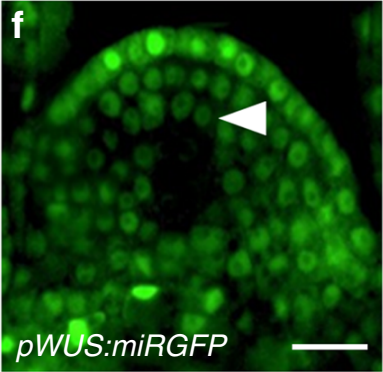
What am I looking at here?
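This longitudinal section shows the dome of a shoot apical meristem with fluorescent nuclei in green. The outer cell layers covering the dome contain bright, regularly arranged nuclei. Below the summit, in the centre of the dome, lies a region where nuclei show little or no fluorescence, appearing dark. Fluorescent nuclei are present again at the flanks and in the tissue beneath this dark area. Many nuclei appear as rings with a darker centre.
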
